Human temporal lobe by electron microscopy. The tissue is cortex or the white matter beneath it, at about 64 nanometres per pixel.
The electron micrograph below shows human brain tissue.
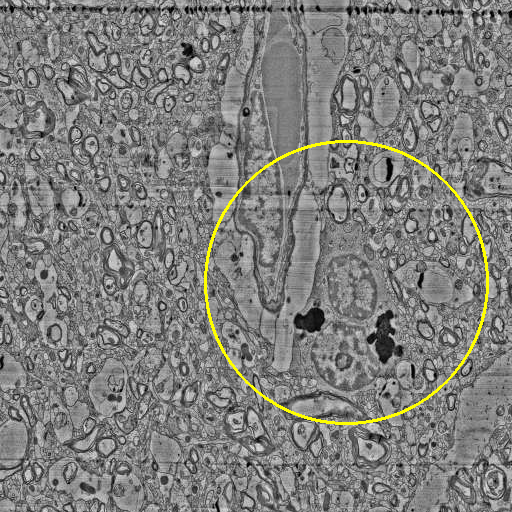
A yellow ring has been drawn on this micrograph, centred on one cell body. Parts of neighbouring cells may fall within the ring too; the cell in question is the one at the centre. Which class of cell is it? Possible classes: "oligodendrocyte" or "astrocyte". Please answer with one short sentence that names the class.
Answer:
In the centre of the ring sits an oligodendrocyte.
